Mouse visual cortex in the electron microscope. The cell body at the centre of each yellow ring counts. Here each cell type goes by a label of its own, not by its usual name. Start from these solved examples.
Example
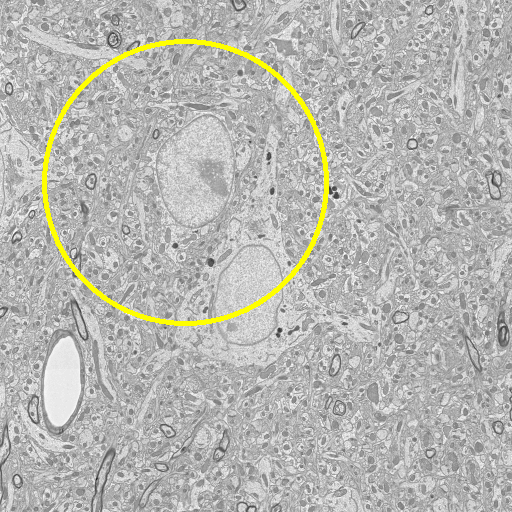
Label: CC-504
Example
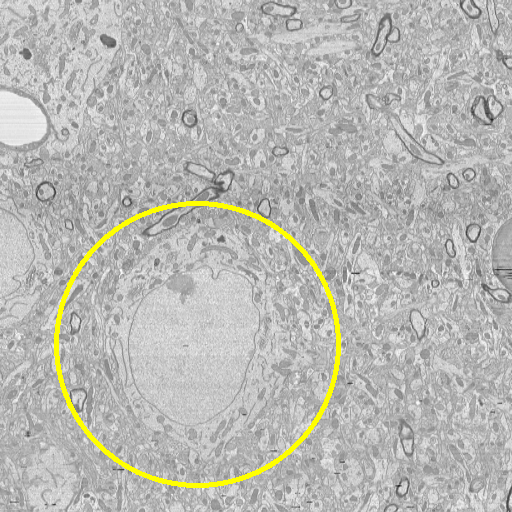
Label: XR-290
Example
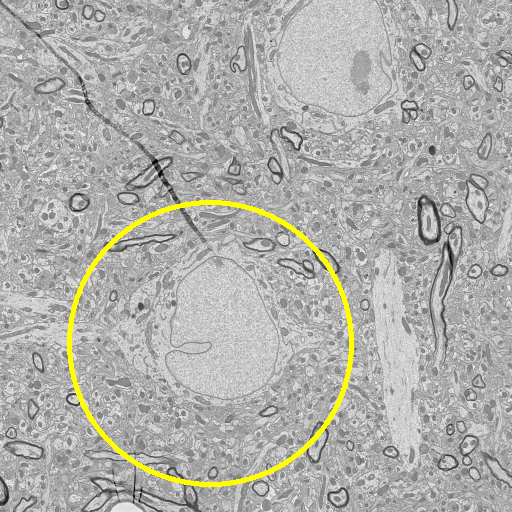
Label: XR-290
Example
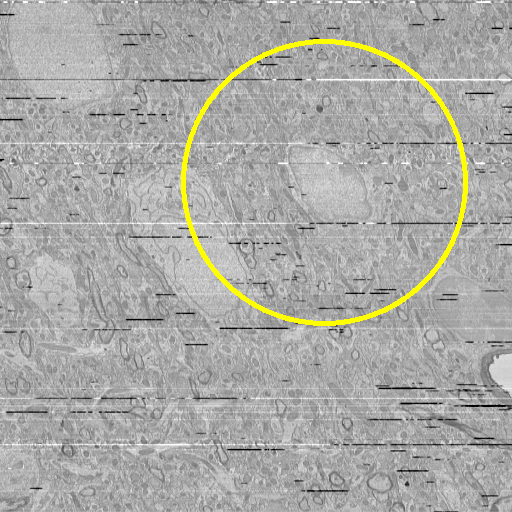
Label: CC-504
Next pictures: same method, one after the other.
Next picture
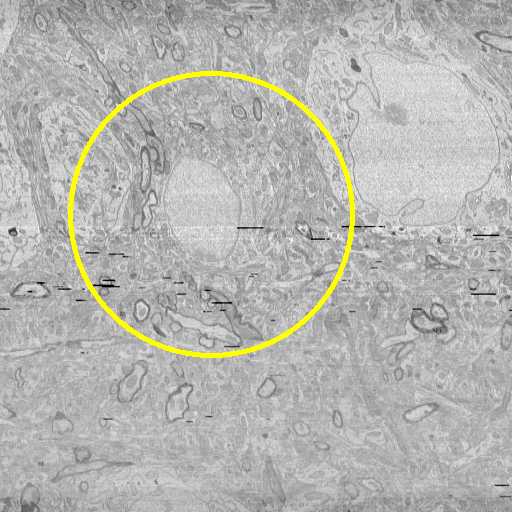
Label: CC-504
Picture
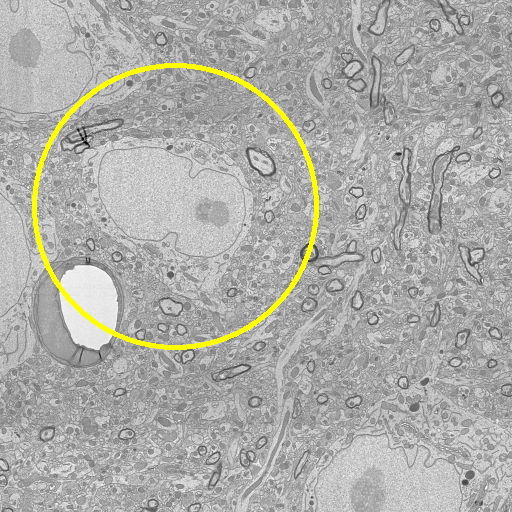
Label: XR-290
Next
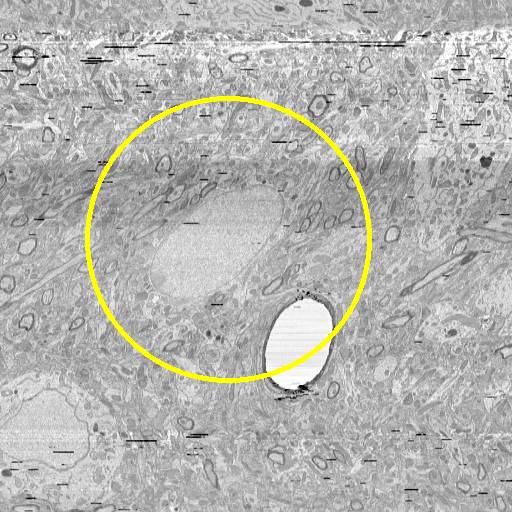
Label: CC-504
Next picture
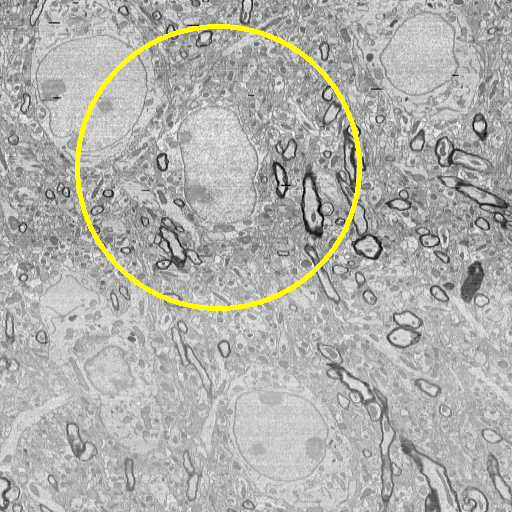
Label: CC-504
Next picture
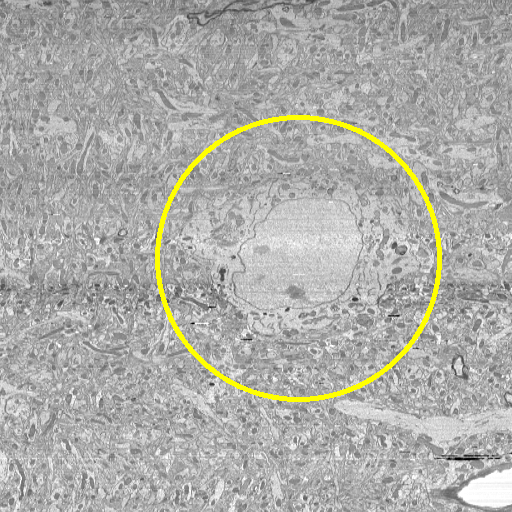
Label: XR-290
